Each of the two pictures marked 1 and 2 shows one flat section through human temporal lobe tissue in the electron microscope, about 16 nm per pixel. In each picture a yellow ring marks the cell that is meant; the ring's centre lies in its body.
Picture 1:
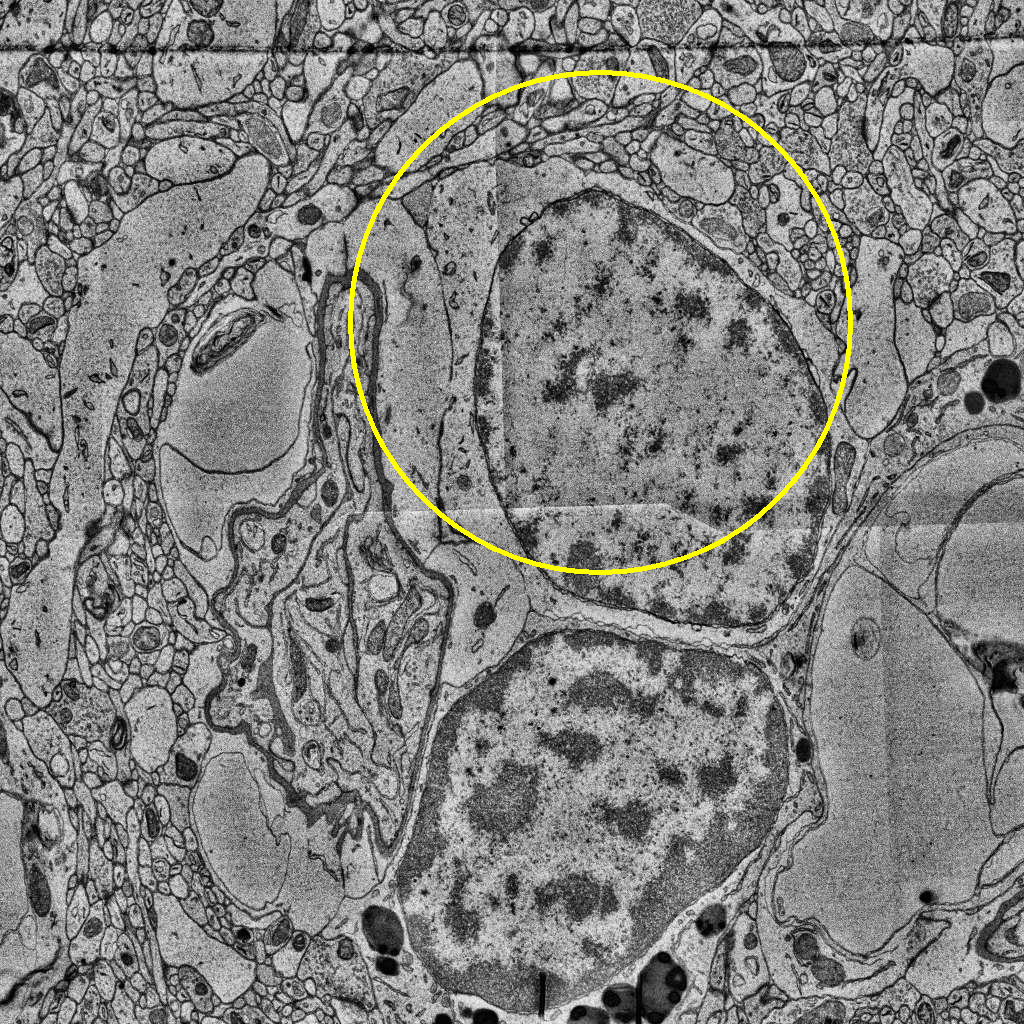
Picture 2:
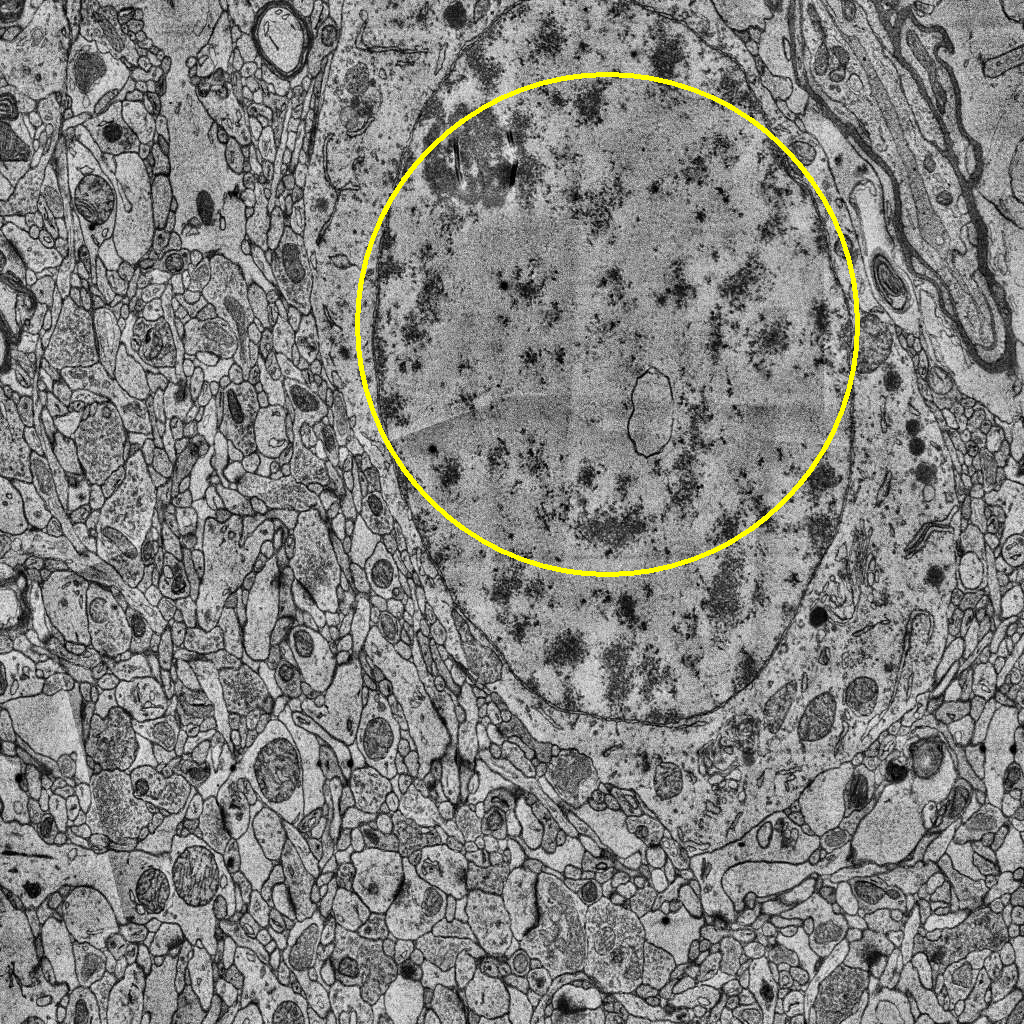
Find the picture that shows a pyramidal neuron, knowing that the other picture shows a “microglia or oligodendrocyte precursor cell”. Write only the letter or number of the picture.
2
